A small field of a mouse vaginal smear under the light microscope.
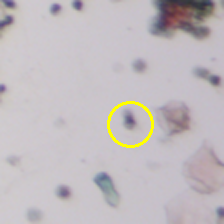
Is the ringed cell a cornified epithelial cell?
No, it is a leukocyte.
